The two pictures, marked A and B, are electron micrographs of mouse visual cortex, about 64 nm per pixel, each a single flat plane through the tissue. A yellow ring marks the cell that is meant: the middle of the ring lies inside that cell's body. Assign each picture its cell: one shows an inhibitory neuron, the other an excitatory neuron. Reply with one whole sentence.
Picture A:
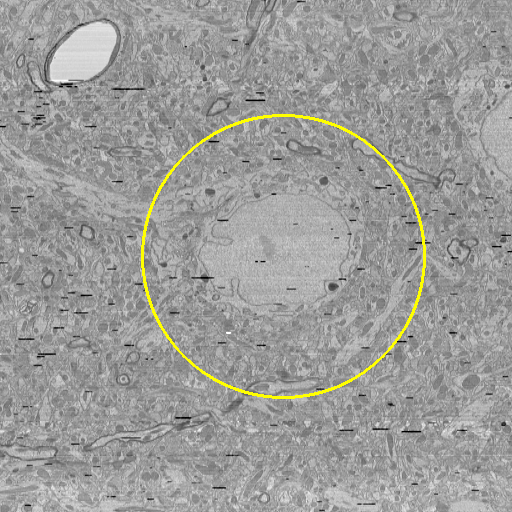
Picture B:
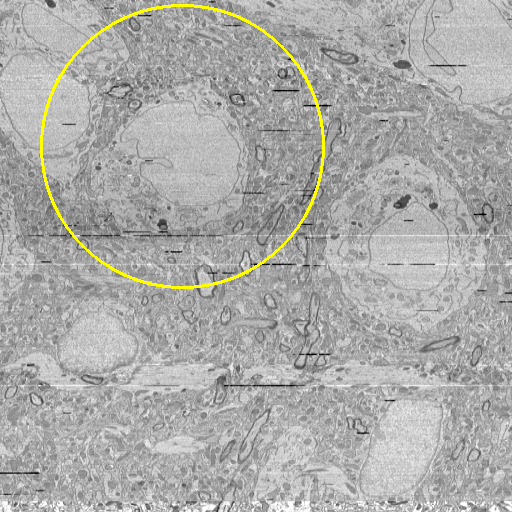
It is picture A that shows an inhibitory neuron, and picture B that shows an excitatory neuron.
